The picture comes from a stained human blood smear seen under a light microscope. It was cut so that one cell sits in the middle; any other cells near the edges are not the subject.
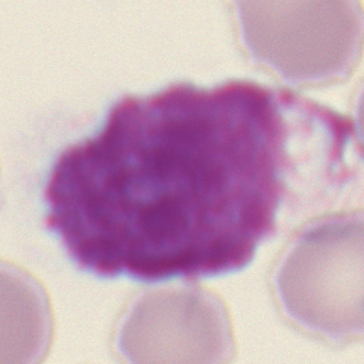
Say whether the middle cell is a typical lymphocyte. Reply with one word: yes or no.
no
